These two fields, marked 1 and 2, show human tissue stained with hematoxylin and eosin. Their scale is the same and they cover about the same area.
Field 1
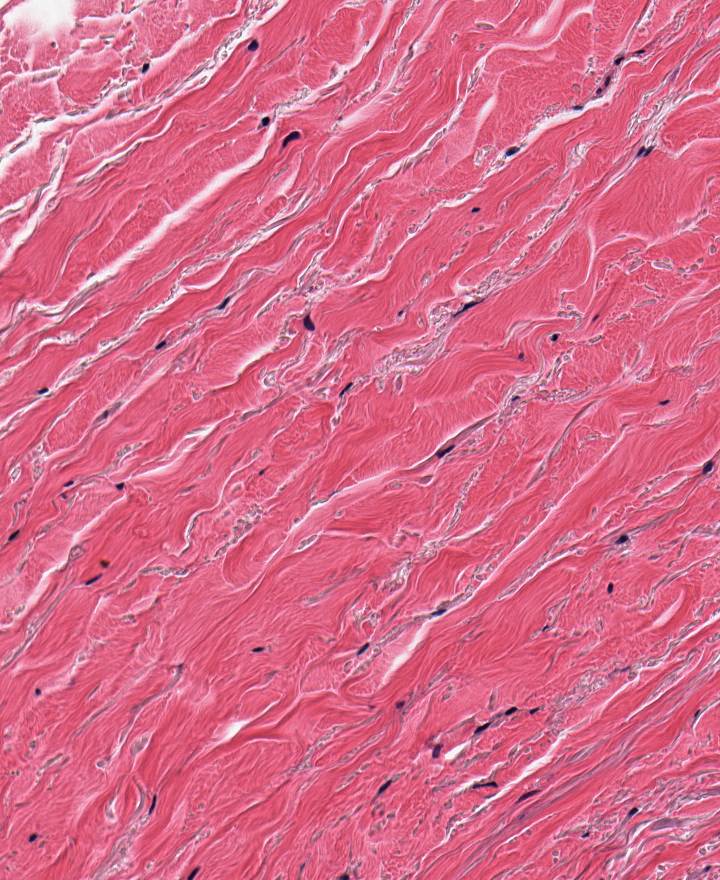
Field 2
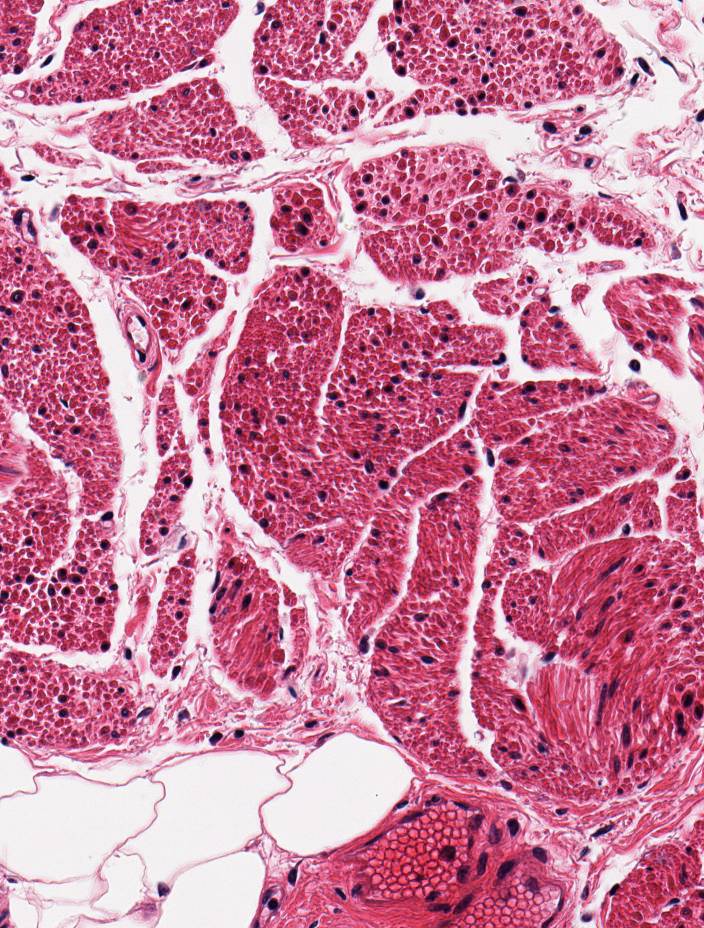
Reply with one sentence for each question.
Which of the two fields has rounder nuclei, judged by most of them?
Rounder nuclei lie in field 2.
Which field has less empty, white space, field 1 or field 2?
Unstained space takes up less of field 1 than of field 2.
